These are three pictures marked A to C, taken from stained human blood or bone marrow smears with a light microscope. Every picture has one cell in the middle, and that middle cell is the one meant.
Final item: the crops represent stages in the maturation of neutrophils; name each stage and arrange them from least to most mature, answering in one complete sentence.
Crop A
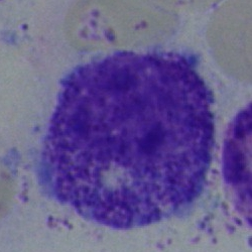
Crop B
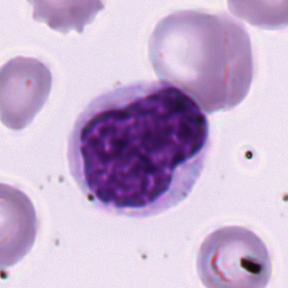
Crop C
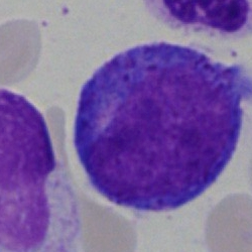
Sequenced by maturity from least to most, the crops are crop C (a promyelocyte), crop A (a myelocyte) and crop B (a metamyelocyte).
